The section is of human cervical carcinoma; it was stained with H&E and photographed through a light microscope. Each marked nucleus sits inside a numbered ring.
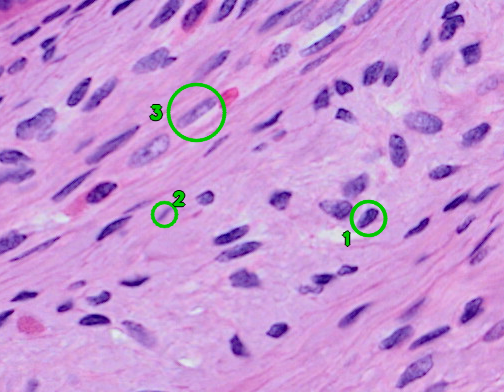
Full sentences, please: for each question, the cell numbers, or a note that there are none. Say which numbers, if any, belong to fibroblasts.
The cells identified by the numbers 1 and 2 are fibroblasts.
